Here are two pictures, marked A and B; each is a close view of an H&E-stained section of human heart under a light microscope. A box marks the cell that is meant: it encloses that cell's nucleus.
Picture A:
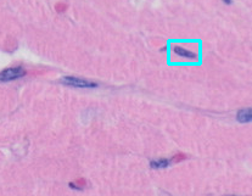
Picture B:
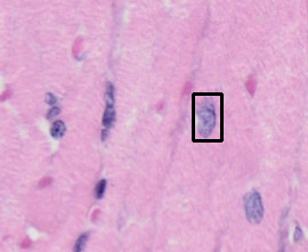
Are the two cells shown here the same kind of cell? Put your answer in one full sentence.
No, they differ: the cell is a fibroblast in picture A and a cardiomyocyte in picture B.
